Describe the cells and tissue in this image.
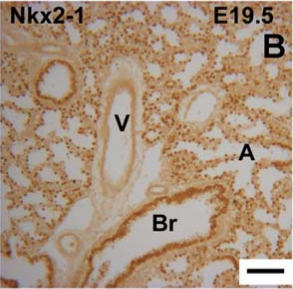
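The airway lining is a continuous band of brown-stained cells, while the thin walls between the airspaces hold scattered brown nuclei among unstained ones. The blood vessel walls are pale.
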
